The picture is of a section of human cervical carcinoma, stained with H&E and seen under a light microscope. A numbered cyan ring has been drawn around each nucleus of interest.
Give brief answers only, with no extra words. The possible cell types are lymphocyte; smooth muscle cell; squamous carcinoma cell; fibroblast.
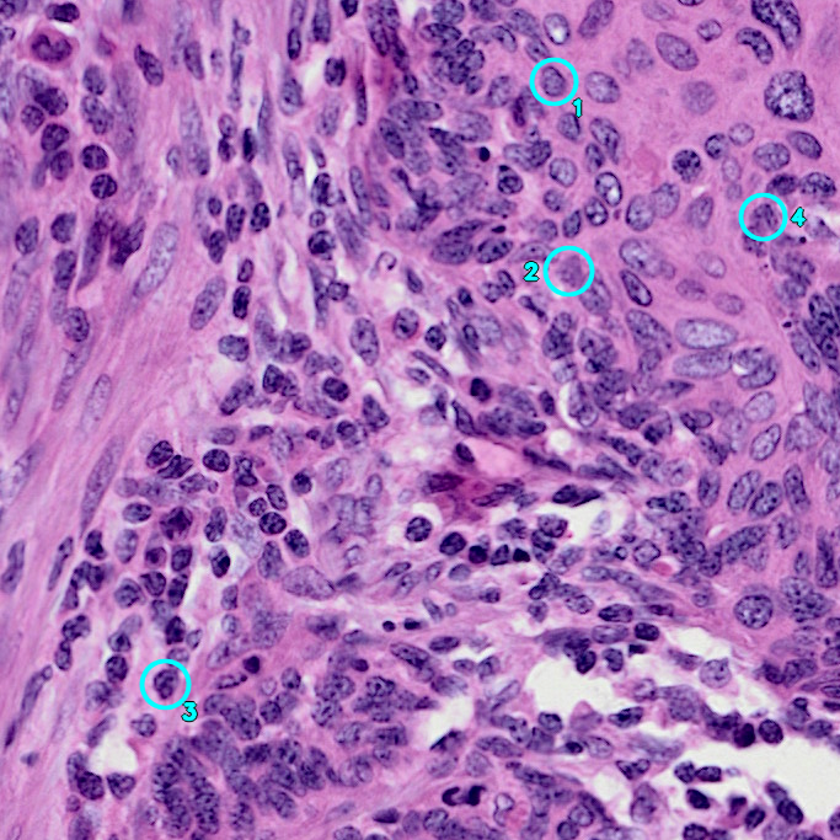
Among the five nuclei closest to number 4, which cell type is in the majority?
squamous carcinoma cell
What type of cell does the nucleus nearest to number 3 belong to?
lymphocyte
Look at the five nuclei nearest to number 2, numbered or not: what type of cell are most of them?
squamous carcinoma cell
